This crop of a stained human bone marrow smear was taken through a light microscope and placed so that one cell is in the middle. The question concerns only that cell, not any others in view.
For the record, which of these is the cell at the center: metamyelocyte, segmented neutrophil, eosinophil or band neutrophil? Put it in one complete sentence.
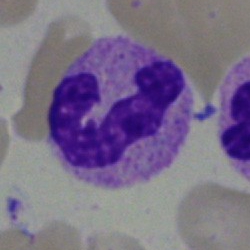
In short, the cell at the center is a band neutrophil.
